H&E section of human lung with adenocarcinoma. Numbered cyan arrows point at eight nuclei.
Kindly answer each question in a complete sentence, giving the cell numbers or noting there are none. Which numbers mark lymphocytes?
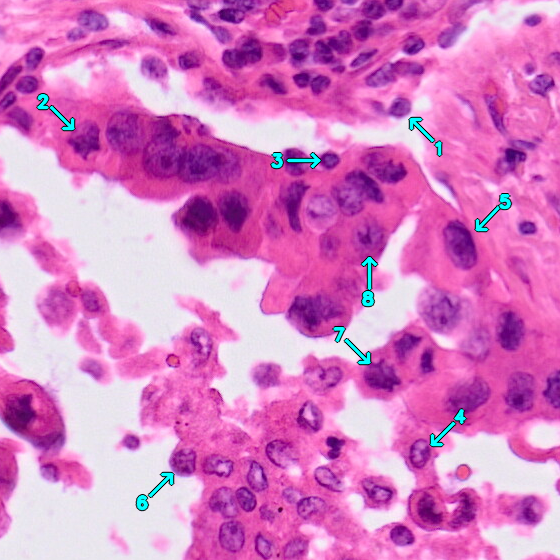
In short, the numbered cells 1 and 3 are lymphocytes.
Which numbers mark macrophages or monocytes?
The cells to which the numbers 4 and 6 refer are macrophages or monocytes.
